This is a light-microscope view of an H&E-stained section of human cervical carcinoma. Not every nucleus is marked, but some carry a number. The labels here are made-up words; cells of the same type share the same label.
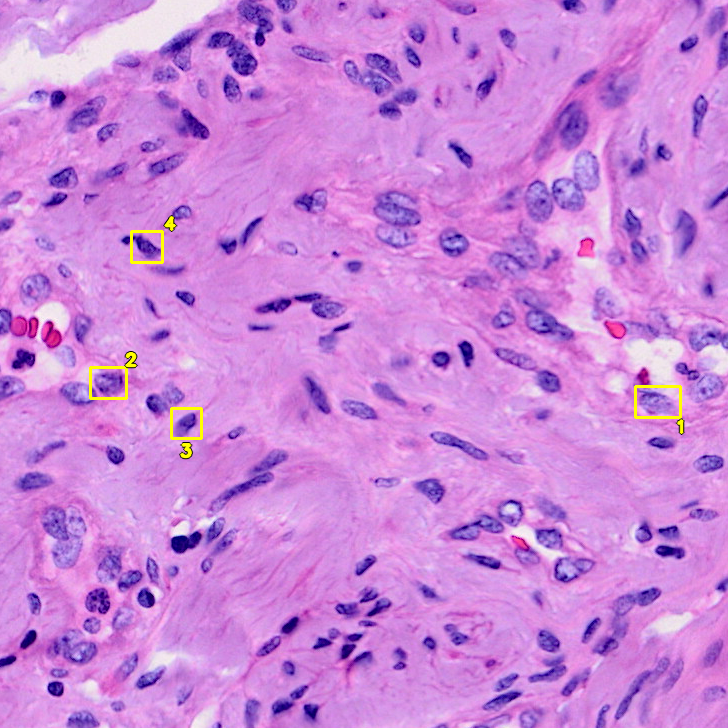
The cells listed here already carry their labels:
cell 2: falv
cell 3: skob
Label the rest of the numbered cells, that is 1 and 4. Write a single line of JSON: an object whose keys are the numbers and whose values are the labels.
{"1": "falv", "4": "skob"}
